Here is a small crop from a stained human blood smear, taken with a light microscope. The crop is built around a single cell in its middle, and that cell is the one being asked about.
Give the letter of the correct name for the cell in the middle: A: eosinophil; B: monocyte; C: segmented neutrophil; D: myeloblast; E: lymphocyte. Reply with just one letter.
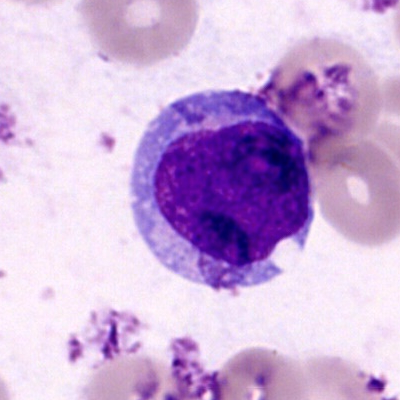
D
